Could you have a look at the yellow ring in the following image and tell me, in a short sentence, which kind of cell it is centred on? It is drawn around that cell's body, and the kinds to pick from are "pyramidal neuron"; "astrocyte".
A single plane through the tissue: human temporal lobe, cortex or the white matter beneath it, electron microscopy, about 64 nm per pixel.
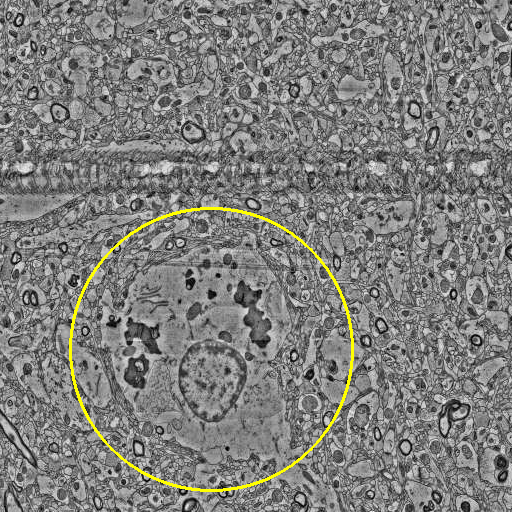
The ring is centred on the body of an astrocyte.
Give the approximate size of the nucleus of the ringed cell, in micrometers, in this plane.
The nucleus works out at approximately 5 by 4 micrometres in this plane.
